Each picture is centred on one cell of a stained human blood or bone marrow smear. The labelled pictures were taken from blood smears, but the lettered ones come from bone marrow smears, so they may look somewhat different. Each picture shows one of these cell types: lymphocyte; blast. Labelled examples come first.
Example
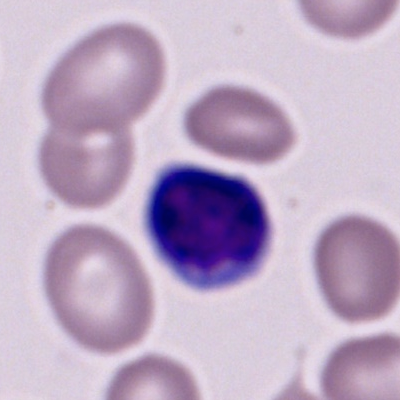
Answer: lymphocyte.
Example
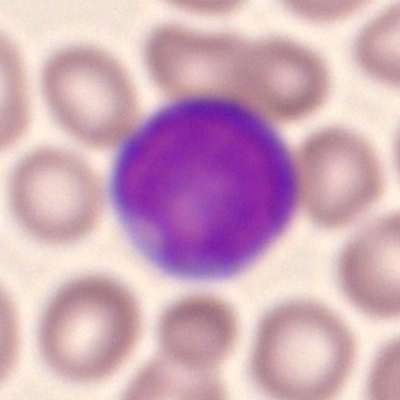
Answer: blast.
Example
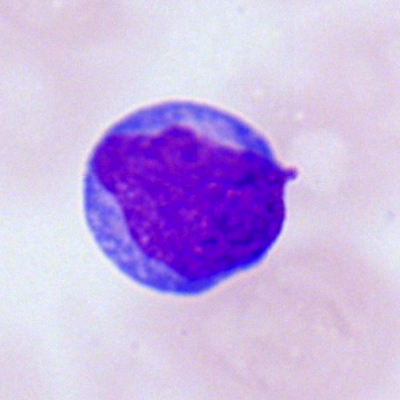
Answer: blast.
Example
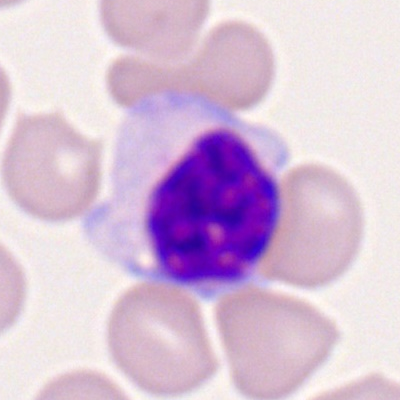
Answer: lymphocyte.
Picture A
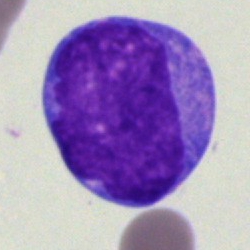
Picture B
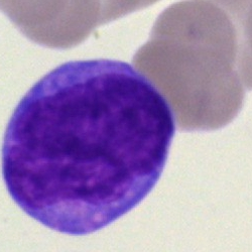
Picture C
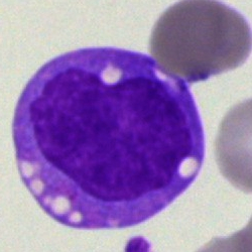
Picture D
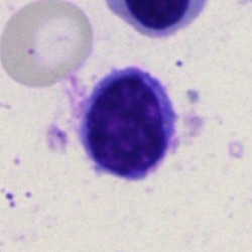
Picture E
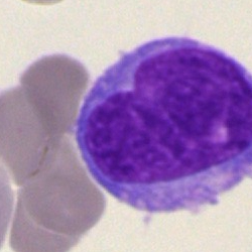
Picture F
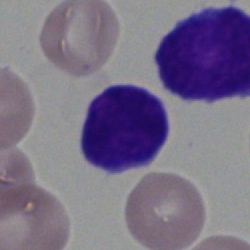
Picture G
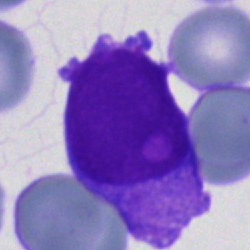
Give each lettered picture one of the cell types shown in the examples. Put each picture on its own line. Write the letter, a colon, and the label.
A: blast.
B: blast.
C: blast.
D: lymphocyte.
E: blast.
F: lymphocyte.
G: blast.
